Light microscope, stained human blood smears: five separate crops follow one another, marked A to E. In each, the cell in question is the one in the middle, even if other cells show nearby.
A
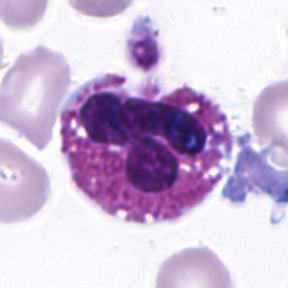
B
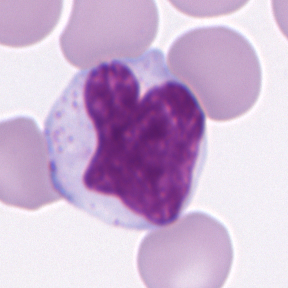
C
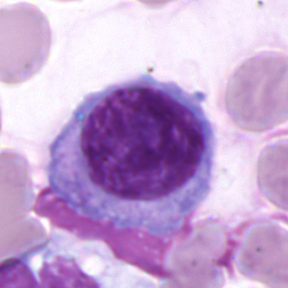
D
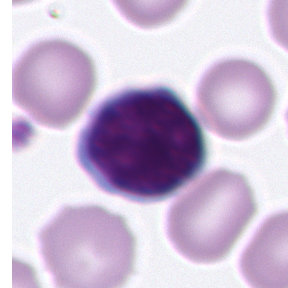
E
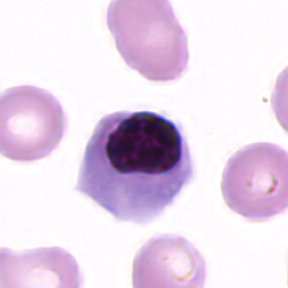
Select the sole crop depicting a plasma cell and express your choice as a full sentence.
Selected crop: C, which is the one that shows a plasma cell.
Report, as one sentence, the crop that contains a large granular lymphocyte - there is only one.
Crop B is the crop that displays a large granular lymphocyte.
